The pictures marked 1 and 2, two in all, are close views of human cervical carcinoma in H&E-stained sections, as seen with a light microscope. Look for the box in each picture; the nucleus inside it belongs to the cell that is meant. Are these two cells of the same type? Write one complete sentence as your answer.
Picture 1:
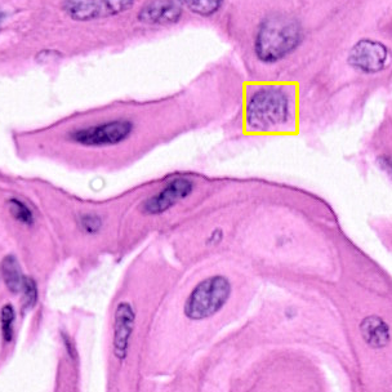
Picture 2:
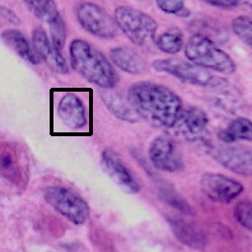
Yes, the two pictures both show squamous carcinoma cells.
